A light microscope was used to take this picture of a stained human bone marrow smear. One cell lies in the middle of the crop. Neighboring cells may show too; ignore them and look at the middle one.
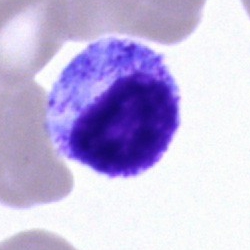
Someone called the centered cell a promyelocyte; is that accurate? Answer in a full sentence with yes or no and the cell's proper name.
No, this cell in the middle is a myelocyte, so it is not a promyelocyte.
